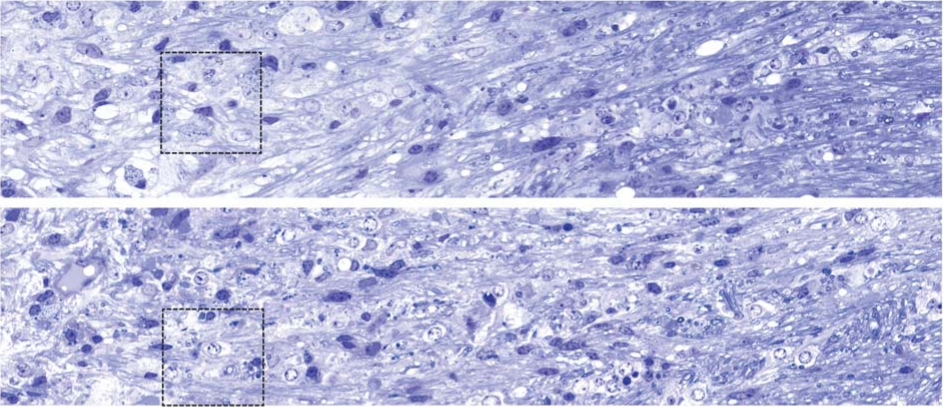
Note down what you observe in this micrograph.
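The left part of each strip is loose and pale. It holds large rounded cells with pale, vacuolated or foamy cytoplasm, scattered dark-blue nuclei and clear spaces. A dashed rectangle in each strip frames a cell-rich area in the loosened tissue on the left.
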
